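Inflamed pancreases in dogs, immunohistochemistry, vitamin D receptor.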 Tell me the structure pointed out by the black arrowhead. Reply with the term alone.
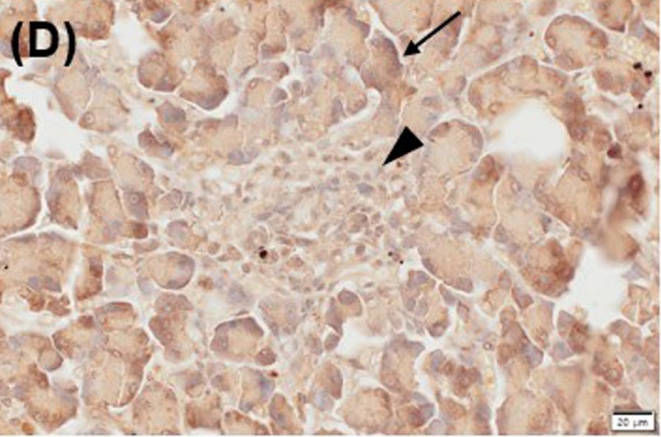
islets of Langerhans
